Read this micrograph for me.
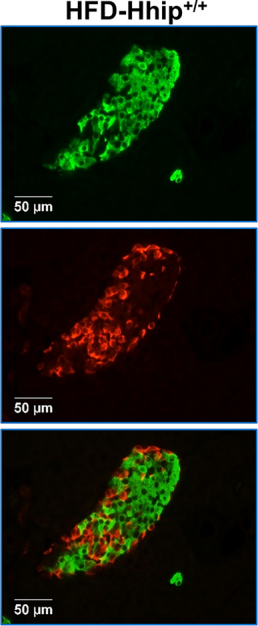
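A pancreatic islet shown as separate green, red and merged images: an elongated cluster of cells with dark round nuclei, in which green cytoplasmic fluorescence marks many cells with visible outlines. In the merged image the red and green cells lie intermingled over part of the islet.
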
